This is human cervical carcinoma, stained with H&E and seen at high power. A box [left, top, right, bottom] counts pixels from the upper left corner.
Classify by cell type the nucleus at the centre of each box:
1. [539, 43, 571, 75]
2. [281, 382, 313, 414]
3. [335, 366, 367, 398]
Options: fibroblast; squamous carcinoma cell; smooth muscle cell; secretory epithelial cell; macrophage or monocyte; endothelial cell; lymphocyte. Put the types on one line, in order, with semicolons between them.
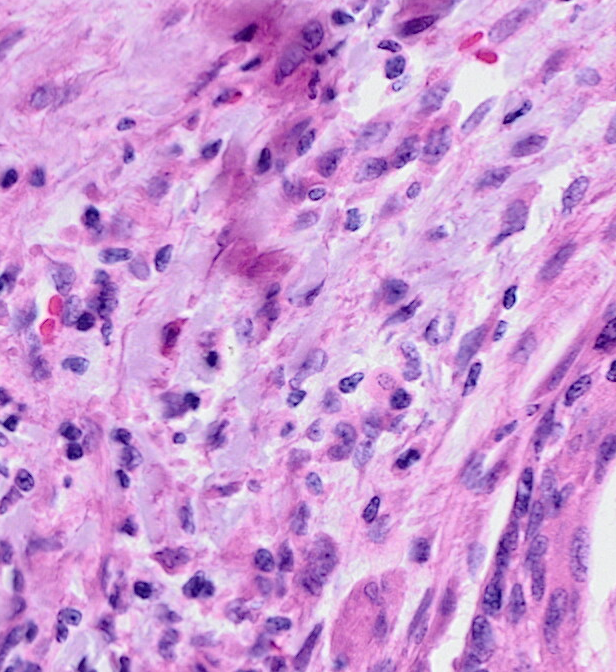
fibroblast; lymphocyte; lymphocyte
